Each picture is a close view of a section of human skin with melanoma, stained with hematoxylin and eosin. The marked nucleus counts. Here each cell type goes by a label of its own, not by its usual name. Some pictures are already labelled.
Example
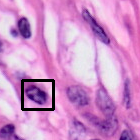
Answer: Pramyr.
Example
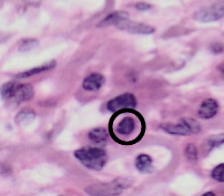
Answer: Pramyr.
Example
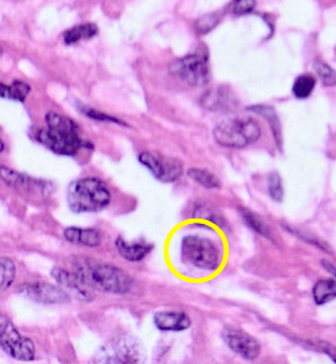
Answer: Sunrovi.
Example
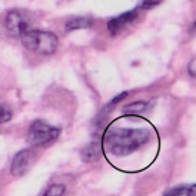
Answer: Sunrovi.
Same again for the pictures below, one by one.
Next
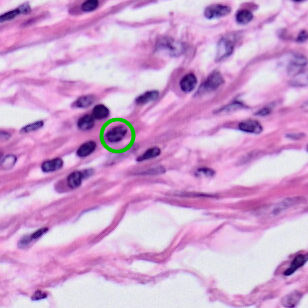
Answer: Pramyr.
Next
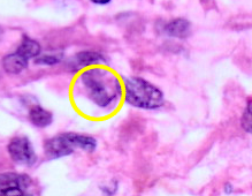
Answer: Sunrovi.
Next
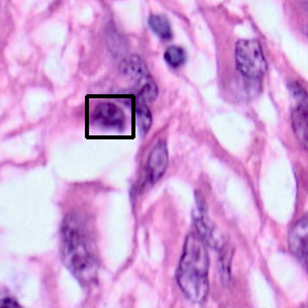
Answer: Sunrovi.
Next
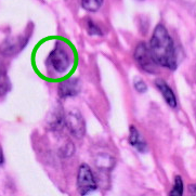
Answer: Sunrovi.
